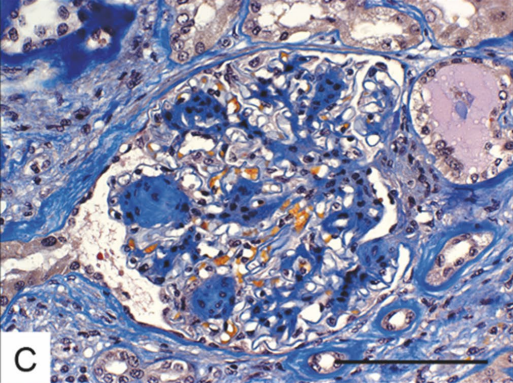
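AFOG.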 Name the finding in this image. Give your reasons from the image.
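The glomerulus contains rounded blue-staining nodules of matrix. Capillary loops with orange red cells are pushed to the edges of the nodules. The answer: Nodular glomerulosclerosis.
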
